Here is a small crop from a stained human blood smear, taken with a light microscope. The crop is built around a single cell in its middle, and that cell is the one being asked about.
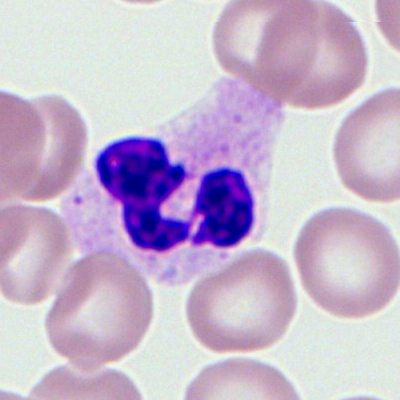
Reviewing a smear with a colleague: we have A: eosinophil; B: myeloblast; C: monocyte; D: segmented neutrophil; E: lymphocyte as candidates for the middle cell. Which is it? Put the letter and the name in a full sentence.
The cell in the middle is a segmented neutrophil, so option D is correct.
